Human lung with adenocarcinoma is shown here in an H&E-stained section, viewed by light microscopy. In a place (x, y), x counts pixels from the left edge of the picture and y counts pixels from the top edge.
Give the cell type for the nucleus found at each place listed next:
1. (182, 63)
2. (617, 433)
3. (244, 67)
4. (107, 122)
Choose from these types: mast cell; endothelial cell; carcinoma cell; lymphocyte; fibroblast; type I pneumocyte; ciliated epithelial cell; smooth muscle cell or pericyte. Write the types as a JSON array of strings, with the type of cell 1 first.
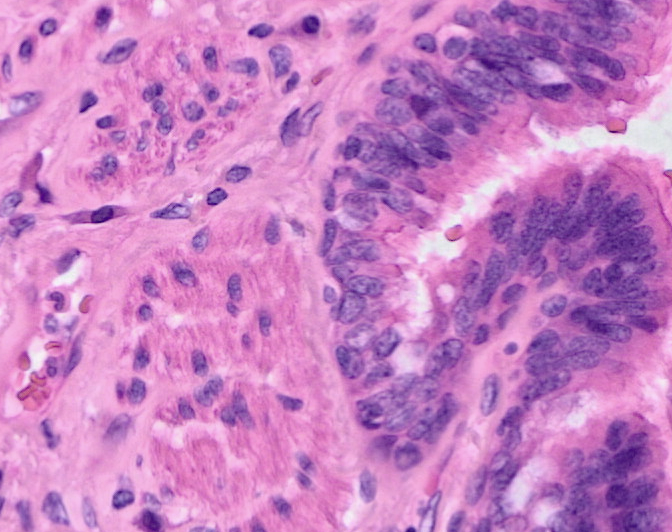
["smooth muscle cell or pericyte", "ciliated epithelial cell", "smooth muscle cell or pericyte", "smooth muscle cell or pericyte"]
